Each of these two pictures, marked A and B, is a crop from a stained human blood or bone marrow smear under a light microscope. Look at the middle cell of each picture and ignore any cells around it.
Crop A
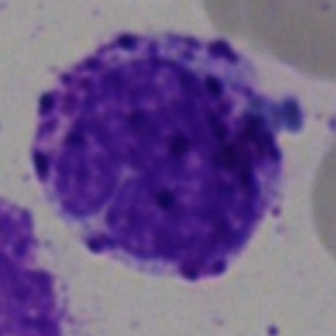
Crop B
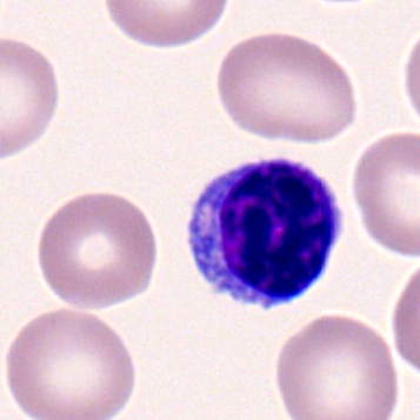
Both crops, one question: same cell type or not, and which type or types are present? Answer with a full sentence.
No, crop A shows a basophil, whereas in crop B the cell is a lymphocyte.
